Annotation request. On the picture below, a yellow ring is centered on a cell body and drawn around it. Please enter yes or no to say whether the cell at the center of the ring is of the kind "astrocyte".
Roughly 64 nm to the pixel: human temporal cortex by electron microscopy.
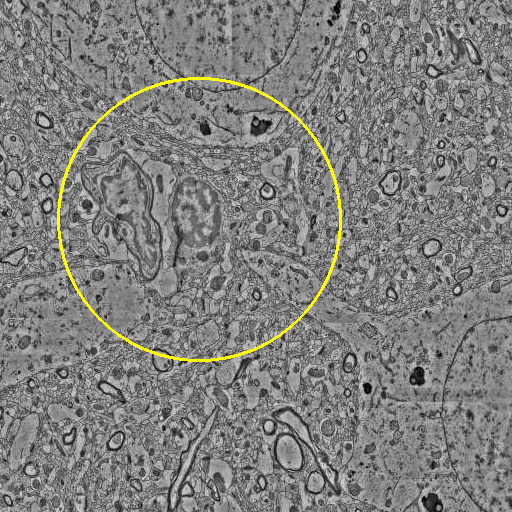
no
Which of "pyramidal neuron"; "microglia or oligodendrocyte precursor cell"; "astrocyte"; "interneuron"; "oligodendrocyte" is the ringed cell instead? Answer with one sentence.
Here, the ring is centred on an oligodendrocyte instead.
